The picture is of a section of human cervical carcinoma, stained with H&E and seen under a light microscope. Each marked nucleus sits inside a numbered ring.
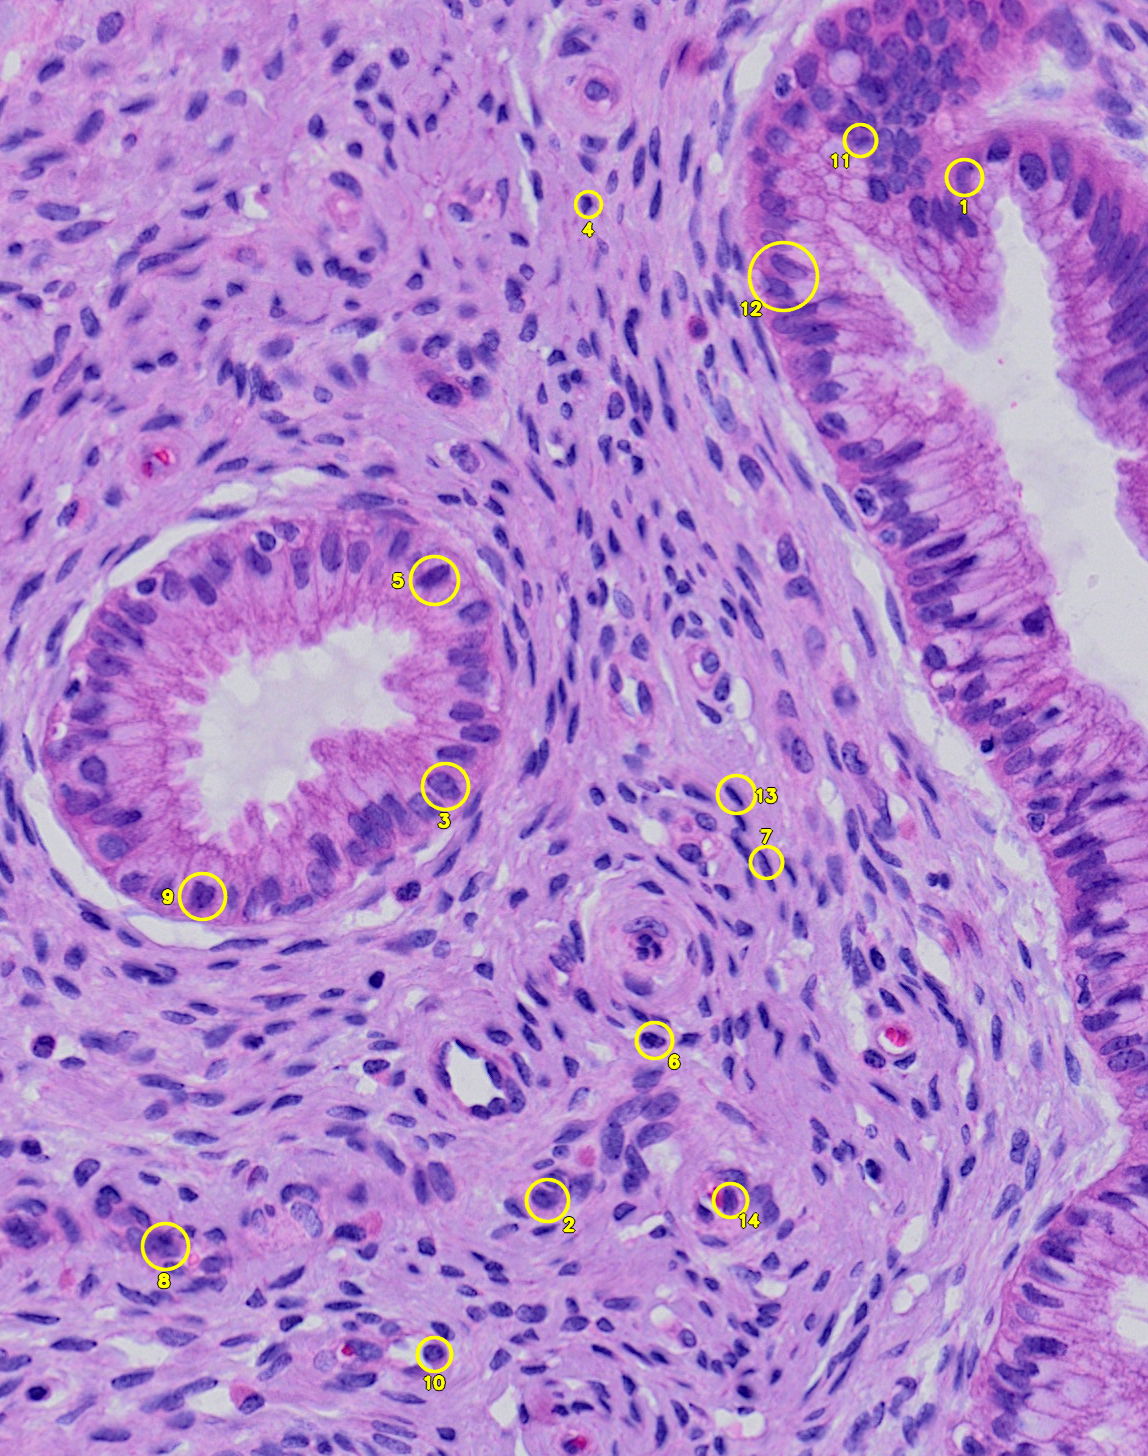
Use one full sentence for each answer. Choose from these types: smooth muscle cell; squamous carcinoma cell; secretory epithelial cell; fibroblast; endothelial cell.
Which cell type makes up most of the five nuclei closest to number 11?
Secretory epithelial cells make up most of the five nuclei closest to number 11.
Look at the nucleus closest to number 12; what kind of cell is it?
Closest to number 12 lies the nucleus of a secretory epithelial cell.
